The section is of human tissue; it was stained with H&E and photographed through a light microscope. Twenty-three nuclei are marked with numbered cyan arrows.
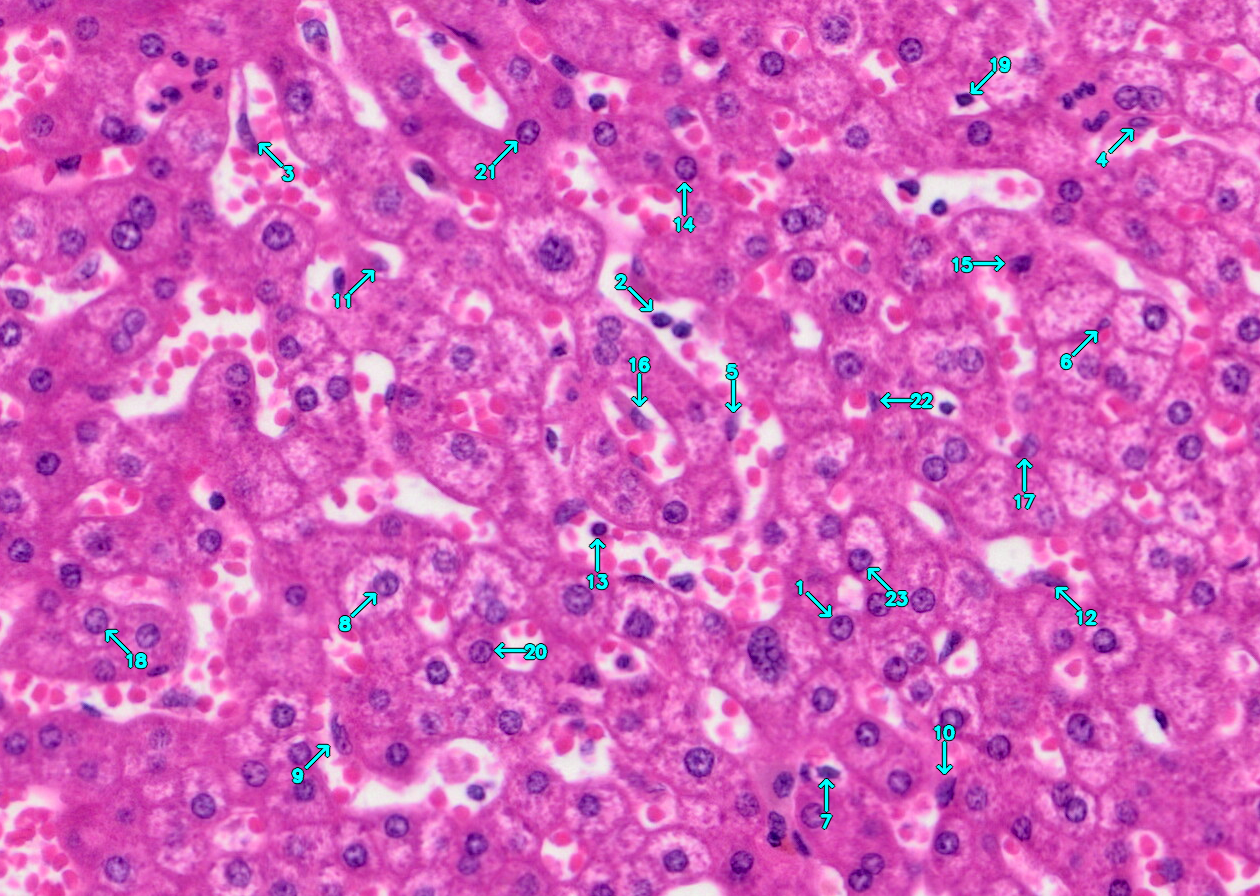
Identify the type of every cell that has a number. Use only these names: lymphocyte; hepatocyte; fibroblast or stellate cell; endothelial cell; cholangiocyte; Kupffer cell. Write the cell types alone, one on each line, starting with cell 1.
hepatocyte
lymphocyte
Kupffer cell
Kupffer cell
endothelial cell
endothelial cell
lymphocyte
hepatocyte
Kupffer cell
fibroblast or stellate cell
Kupffer cell
Kupffer cell
lymphocyte
hepatocyte
fibroblast or stellate cell
Kupffer cell
endothelial cell
hepatocyte
lymphocyte
hepatocyte
hepatocyte
endothelial cell
hepatocyte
